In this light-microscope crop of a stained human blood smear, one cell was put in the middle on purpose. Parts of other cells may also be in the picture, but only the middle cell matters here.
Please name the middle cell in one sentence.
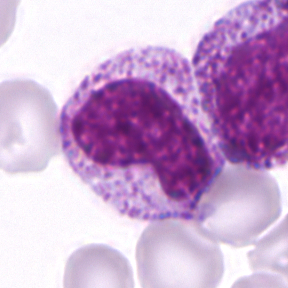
The central cell, amid any neighbouring cells, is a band neutrophil.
